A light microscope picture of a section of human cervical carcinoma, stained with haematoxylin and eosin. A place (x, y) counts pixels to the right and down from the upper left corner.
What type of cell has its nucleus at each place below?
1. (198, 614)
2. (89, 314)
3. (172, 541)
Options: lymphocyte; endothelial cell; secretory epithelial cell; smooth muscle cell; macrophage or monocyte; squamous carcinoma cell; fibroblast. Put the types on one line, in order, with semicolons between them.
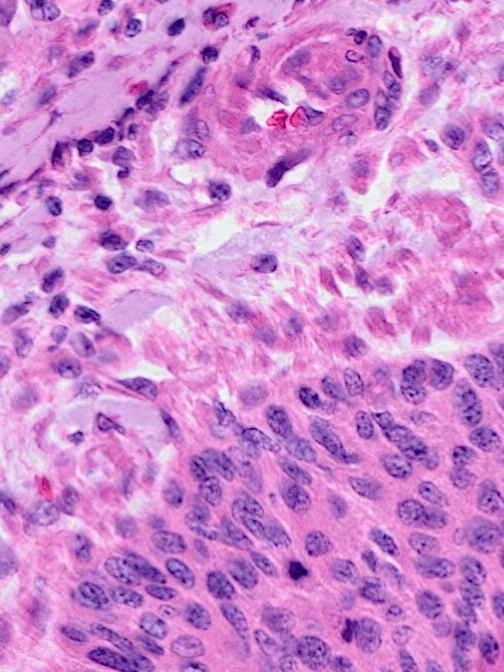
squamous carcinoma cell; lymphocyte; squamous carcinoma cell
